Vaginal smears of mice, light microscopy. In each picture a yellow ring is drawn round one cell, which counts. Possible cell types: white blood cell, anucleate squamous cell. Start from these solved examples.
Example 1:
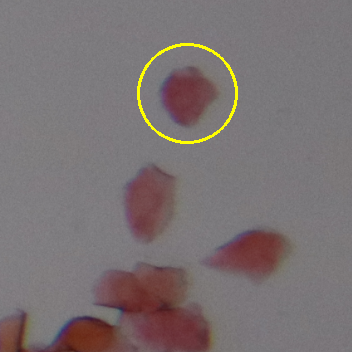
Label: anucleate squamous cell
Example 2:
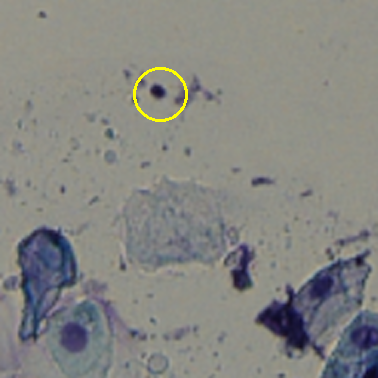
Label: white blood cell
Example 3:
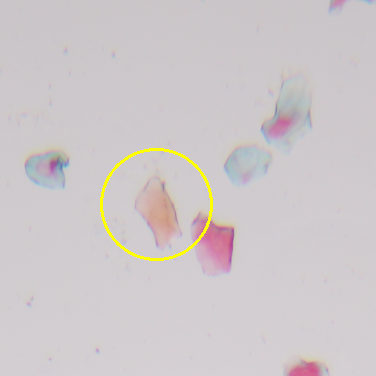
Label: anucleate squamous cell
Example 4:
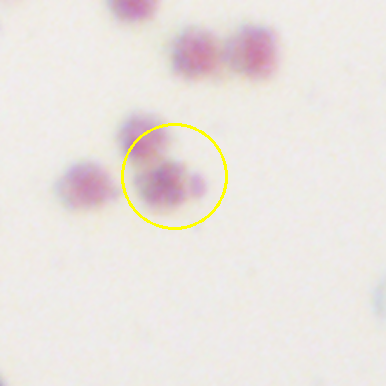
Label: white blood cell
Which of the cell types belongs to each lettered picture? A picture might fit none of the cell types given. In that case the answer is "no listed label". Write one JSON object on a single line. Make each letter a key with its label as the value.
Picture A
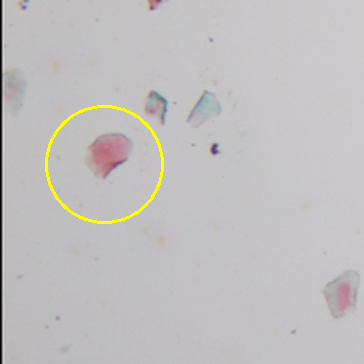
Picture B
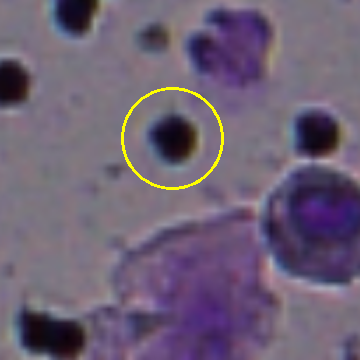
{"A": "anucleate squamous cell", "B": "white blood cell"}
